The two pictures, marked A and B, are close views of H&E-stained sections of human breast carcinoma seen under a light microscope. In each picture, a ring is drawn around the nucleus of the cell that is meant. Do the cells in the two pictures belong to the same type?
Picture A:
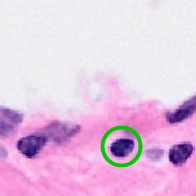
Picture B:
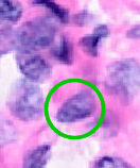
no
